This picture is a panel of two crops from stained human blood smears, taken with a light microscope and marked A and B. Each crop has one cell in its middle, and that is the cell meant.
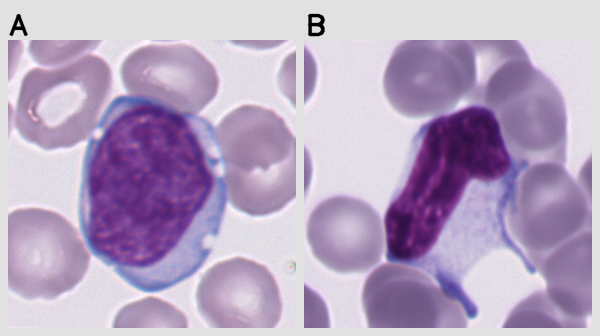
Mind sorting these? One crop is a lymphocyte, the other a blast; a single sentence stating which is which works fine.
In short, crop A is a blast and crop B is a lymphocyte.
